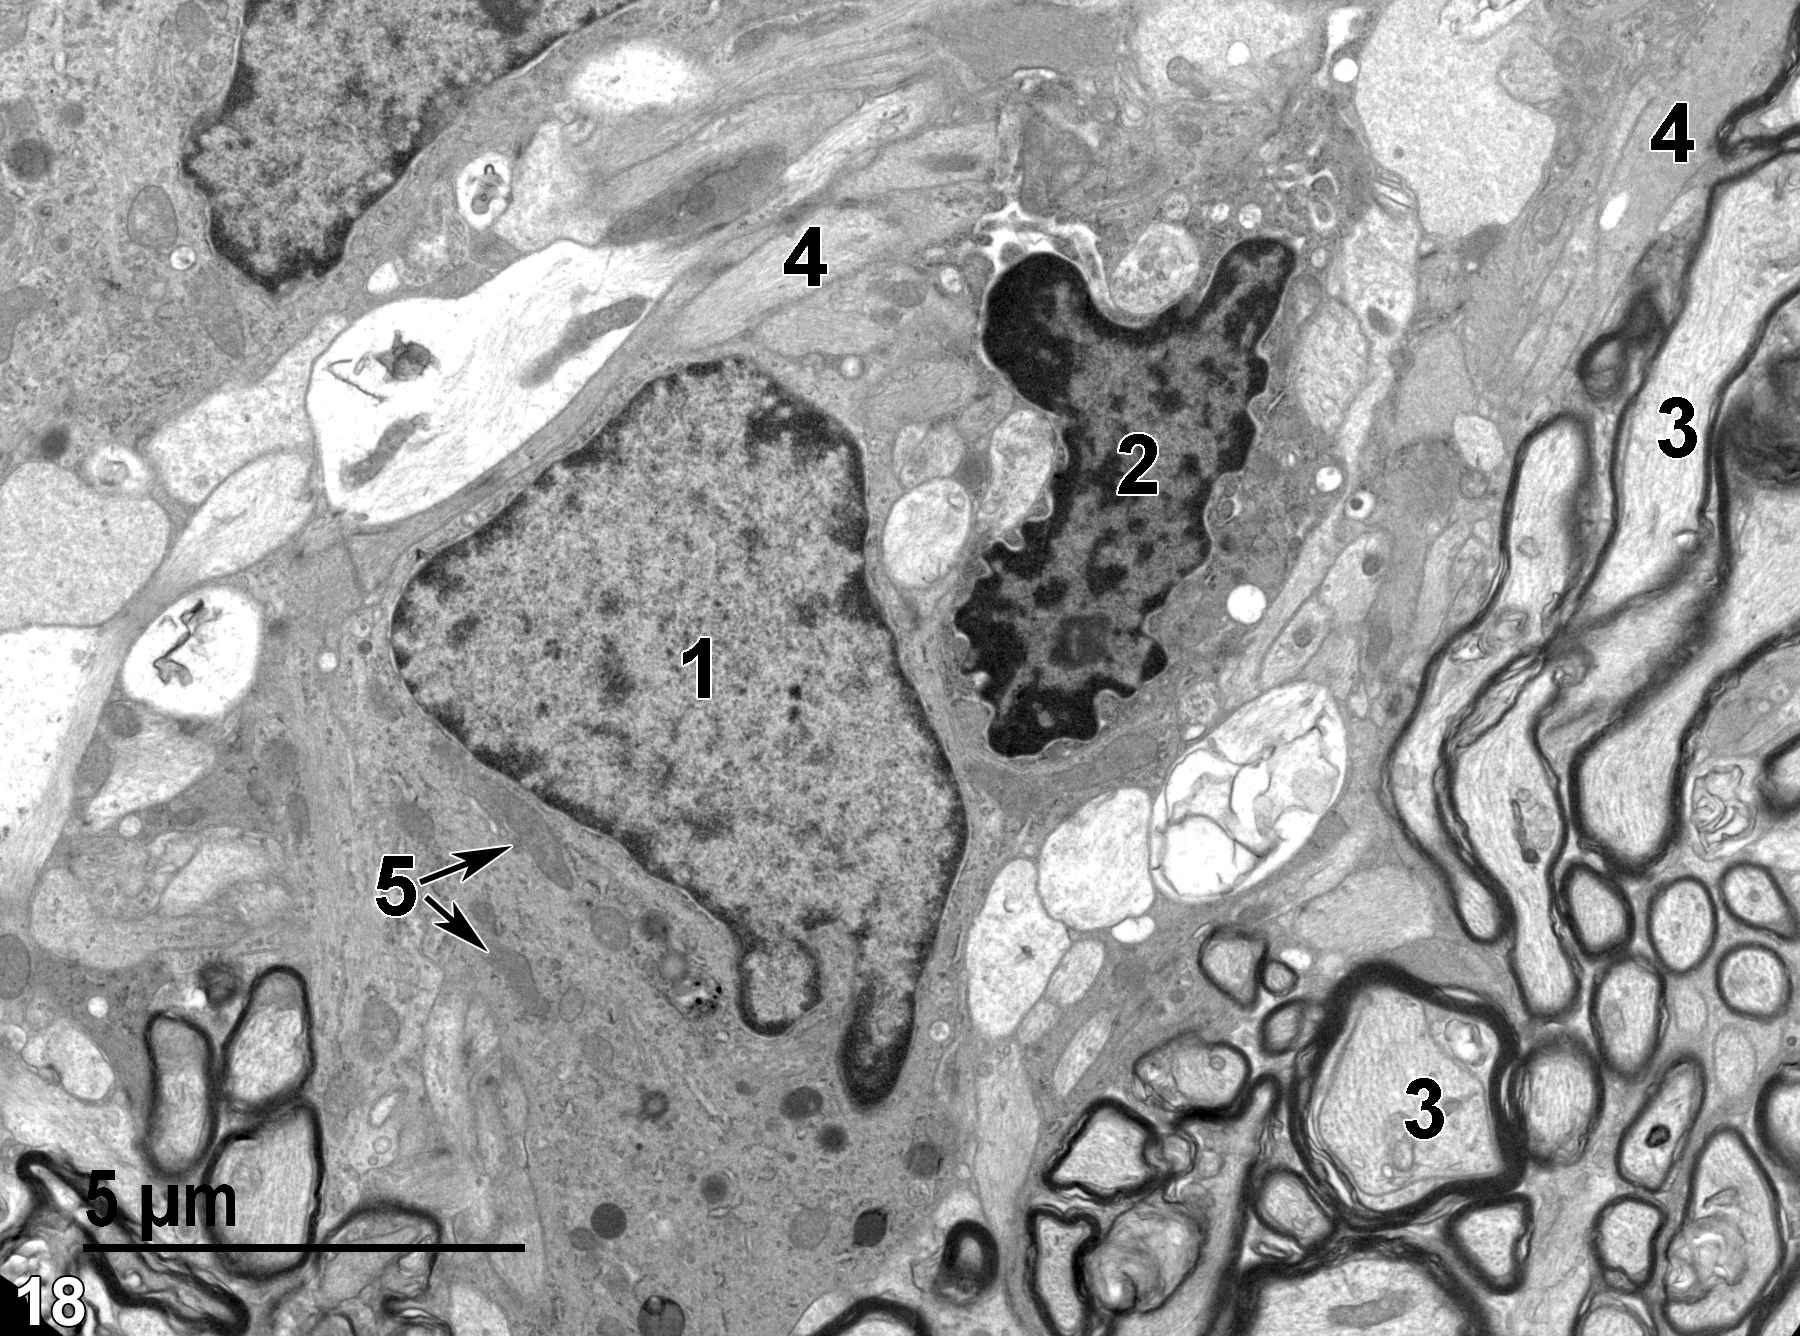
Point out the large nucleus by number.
1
